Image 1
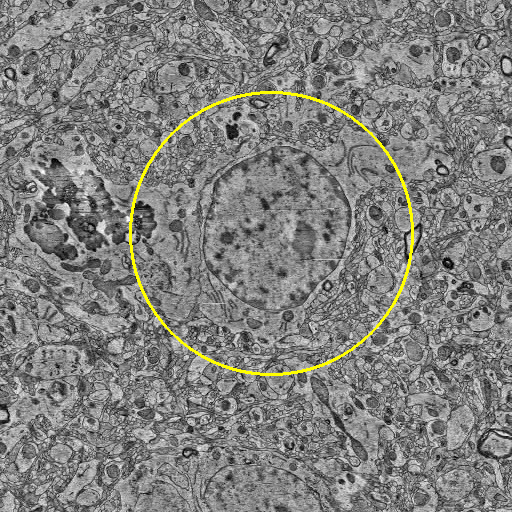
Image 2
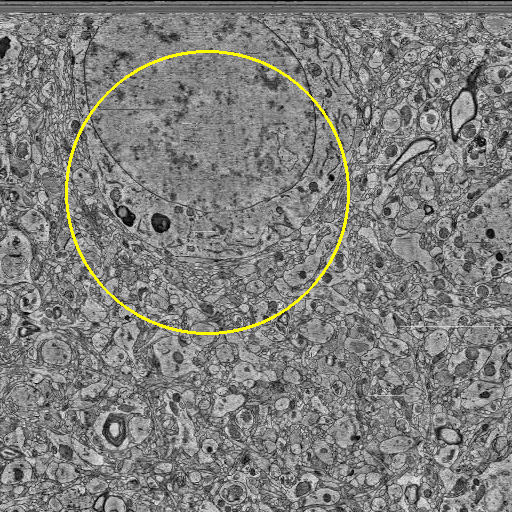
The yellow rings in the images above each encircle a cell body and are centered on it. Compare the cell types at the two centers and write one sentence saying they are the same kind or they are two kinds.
Taken together, the two cells at the ring centers are two kinds.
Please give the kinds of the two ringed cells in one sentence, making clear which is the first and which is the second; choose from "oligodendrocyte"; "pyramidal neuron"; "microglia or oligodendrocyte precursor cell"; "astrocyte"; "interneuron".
In the second picture the ringed cell is a pyramidal neuron; in the first it is an astrocyte.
